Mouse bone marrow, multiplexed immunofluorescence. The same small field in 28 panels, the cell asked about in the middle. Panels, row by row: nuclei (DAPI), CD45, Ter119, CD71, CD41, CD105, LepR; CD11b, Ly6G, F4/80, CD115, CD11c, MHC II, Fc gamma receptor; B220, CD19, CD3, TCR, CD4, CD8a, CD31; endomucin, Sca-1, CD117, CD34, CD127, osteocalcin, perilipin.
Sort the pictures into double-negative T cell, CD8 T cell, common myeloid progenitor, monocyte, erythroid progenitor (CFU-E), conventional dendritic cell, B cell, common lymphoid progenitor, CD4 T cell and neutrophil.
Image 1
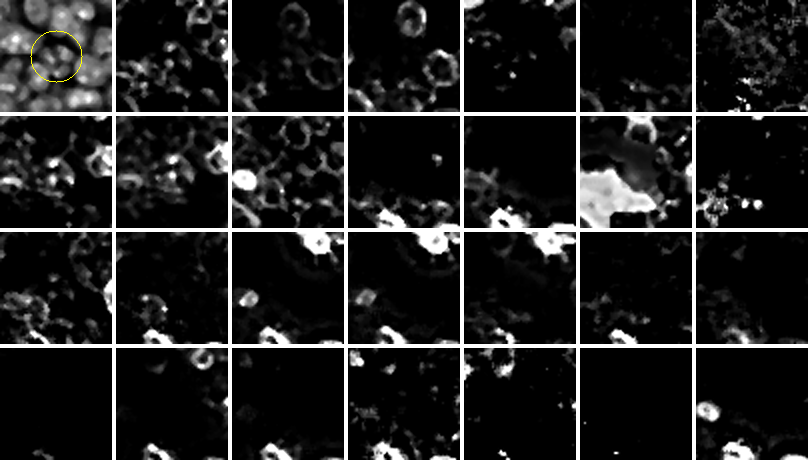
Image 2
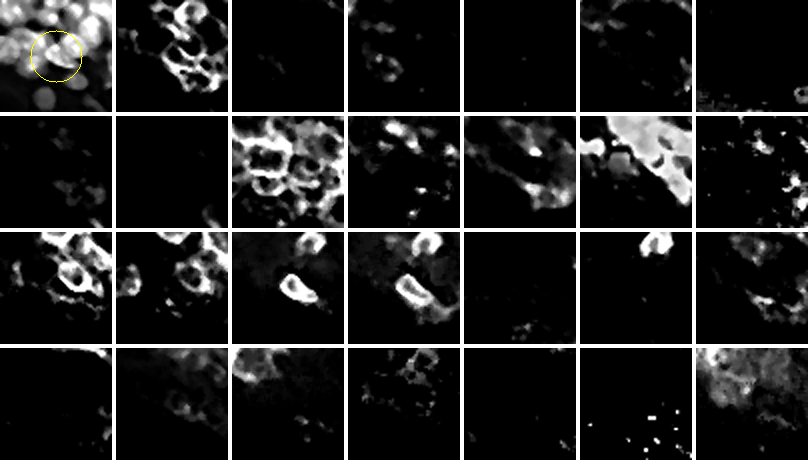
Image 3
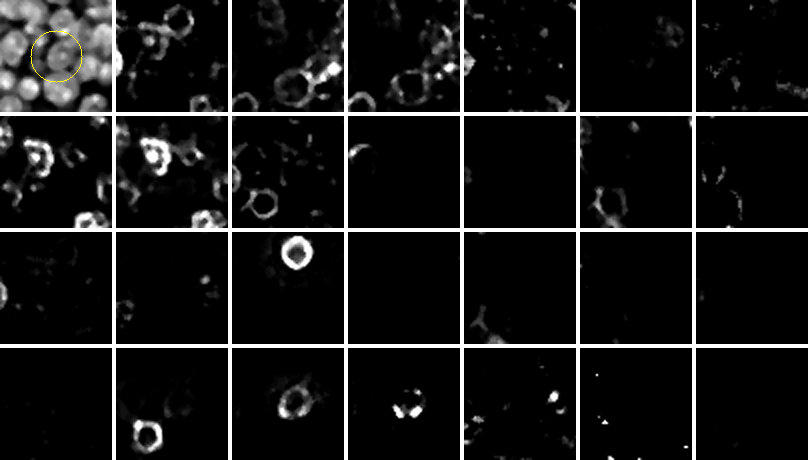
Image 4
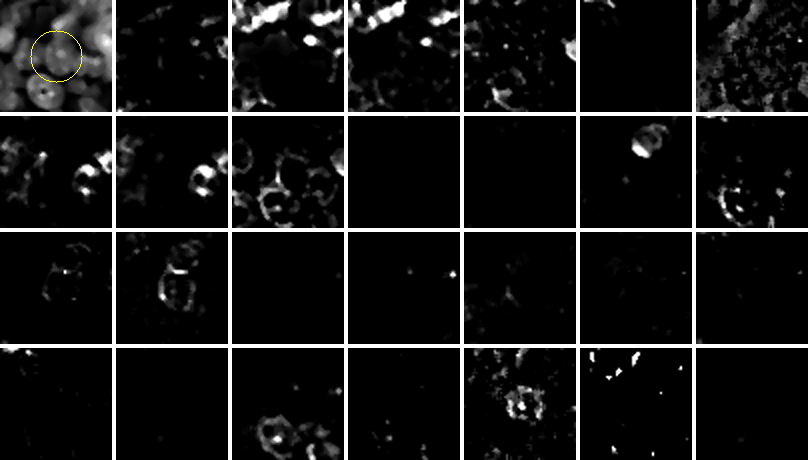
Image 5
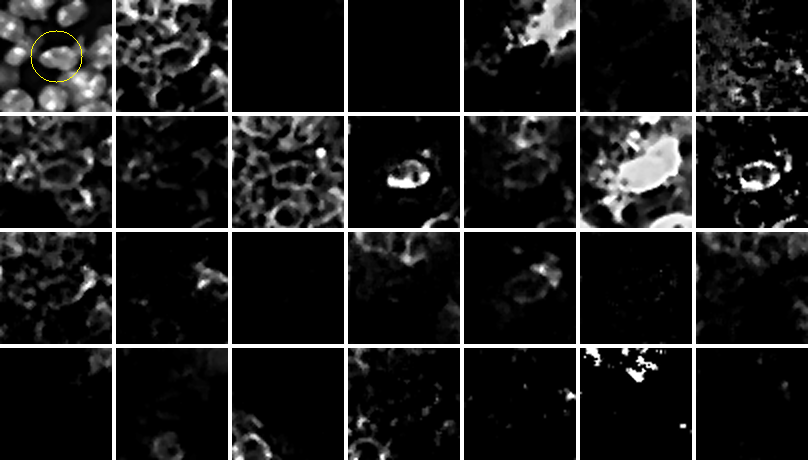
Neutrophils: 1
Double-negative T cells: 2
Common myeloid progenitors: 3
Common lymphoid progenitors: 4
Monocytes: 5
